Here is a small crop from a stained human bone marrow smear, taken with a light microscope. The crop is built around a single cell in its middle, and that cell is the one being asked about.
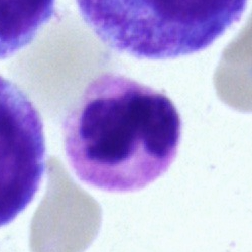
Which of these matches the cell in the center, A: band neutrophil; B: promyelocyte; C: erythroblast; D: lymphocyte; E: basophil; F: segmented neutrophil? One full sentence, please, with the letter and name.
Option E is right in identifying the central cell as a basophil.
